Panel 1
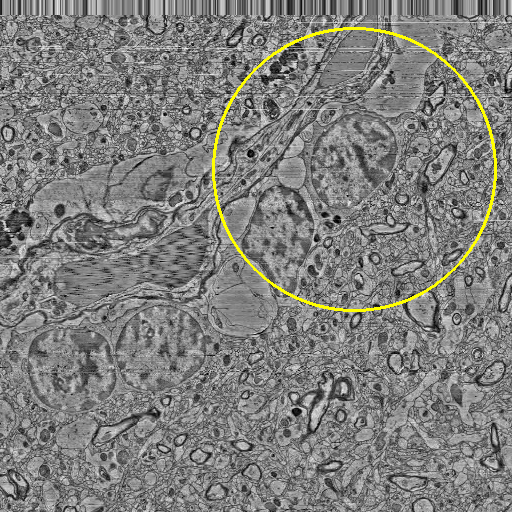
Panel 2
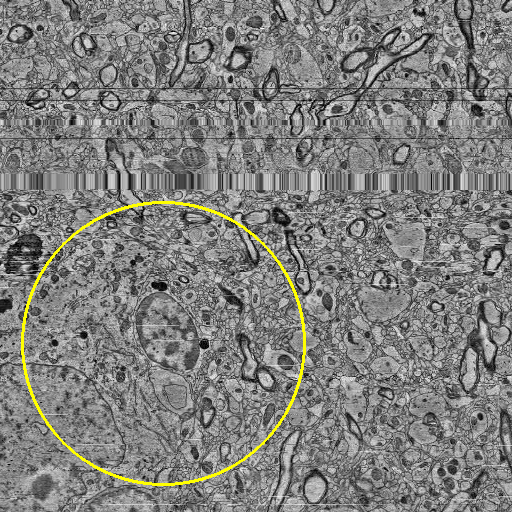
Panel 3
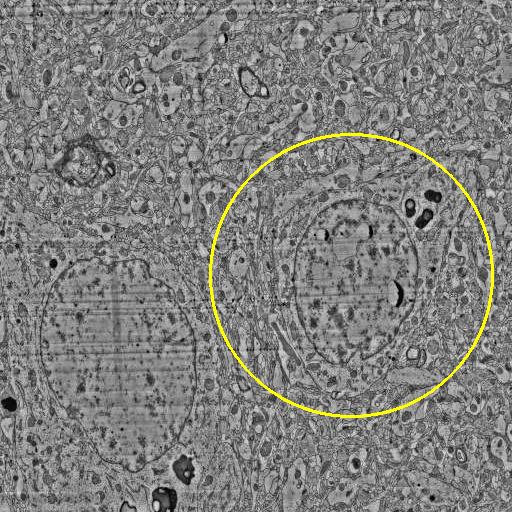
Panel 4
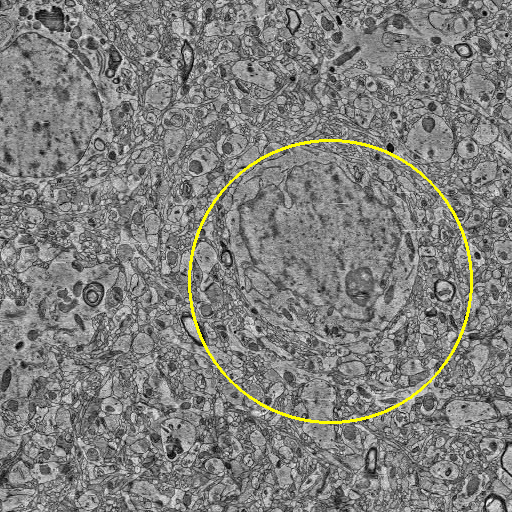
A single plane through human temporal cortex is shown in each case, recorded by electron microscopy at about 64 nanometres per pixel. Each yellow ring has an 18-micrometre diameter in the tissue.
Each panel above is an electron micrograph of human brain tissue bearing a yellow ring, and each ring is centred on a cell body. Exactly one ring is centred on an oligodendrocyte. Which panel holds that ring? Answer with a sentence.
That ring is in Panel 1.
